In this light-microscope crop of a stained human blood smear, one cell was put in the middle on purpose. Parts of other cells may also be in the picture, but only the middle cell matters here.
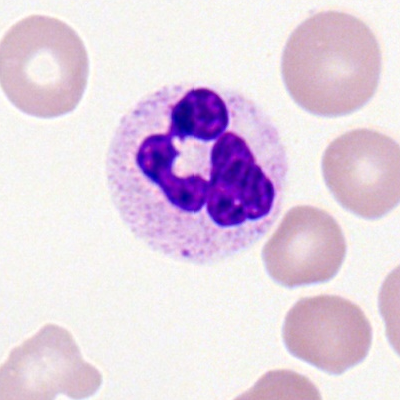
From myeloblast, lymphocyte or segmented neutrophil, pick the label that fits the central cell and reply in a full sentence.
By type, the central cell of the crop is a segmented neutrophil.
